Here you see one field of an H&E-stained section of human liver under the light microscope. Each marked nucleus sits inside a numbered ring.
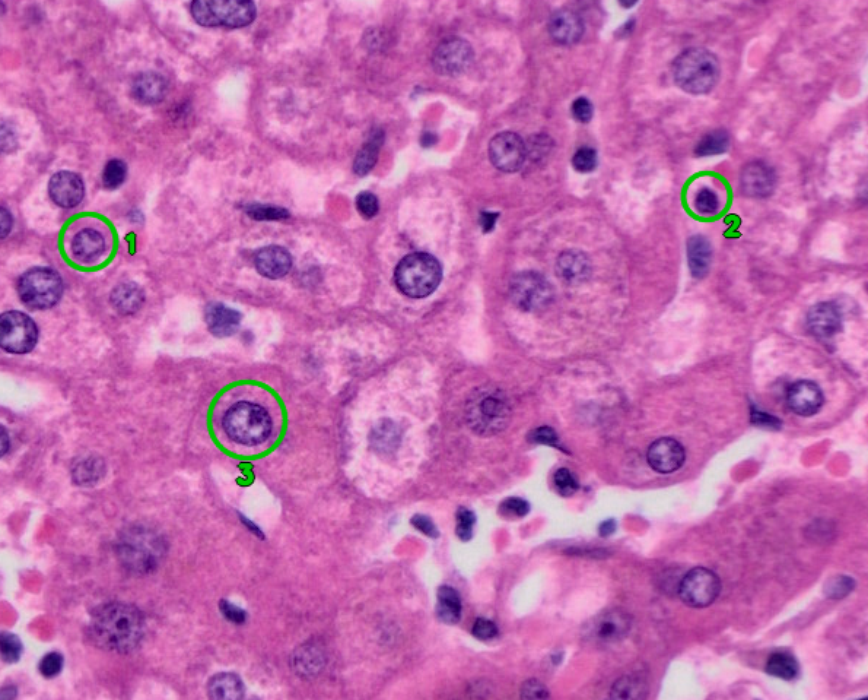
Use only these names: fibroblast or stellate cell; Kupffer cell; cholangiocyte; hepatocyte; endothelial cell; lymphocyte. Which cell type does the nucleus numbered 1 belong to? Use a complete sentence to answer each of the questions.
The cell marked with number 1 is a hepatocyte.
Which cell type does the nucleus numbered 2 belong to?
In this section, the cell numbered 2 is a lymphocyte.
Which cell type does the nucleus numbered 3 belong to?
The cell that goes by number 3 is a hepatocyte.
